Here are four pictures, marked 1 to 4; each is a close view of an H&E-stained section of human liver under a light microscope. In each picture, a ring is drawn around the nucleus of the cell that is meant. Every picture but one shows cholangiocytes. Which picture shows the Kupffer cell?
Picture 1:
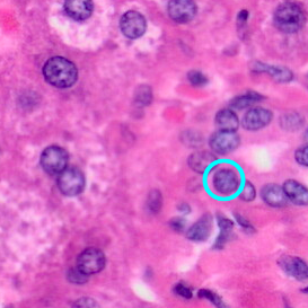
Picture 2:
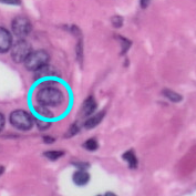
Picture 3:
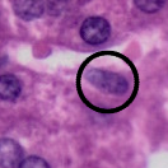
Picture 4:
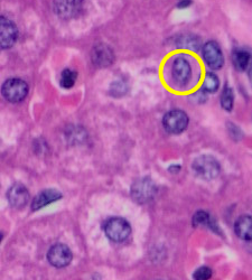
3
